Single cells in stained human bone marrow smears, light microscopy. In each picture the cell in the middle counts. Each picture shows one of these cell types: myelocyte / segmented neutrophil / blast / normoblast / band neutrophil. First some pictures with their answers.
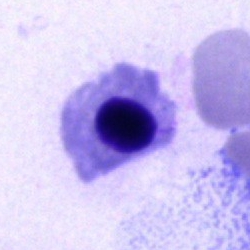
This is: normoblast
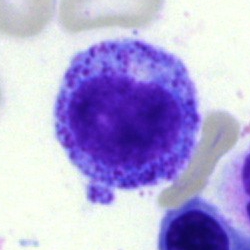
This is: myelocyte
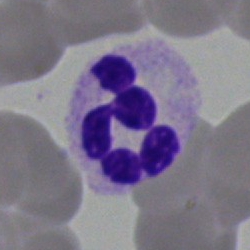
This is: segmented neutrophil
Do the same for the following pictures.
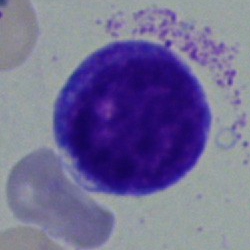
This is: blast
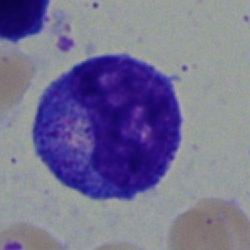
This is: myelocyte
